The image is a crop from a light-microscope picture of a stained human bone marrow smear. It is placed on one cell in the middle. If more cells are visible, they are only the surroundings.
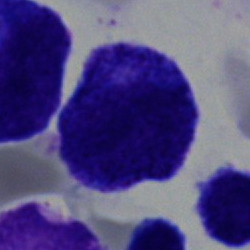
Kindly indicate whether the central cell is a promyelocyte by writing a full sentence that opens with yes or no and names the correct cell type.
Yes, that is right: the middle cell is a promyelocyte.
